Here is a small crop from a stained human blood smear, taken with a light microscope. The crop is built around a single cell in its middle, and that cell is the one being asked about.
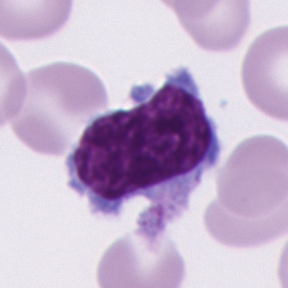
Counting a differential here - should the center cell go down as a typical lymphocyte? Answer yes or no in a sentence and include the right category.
Yes, the central cell here is a typical lymphocyte.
